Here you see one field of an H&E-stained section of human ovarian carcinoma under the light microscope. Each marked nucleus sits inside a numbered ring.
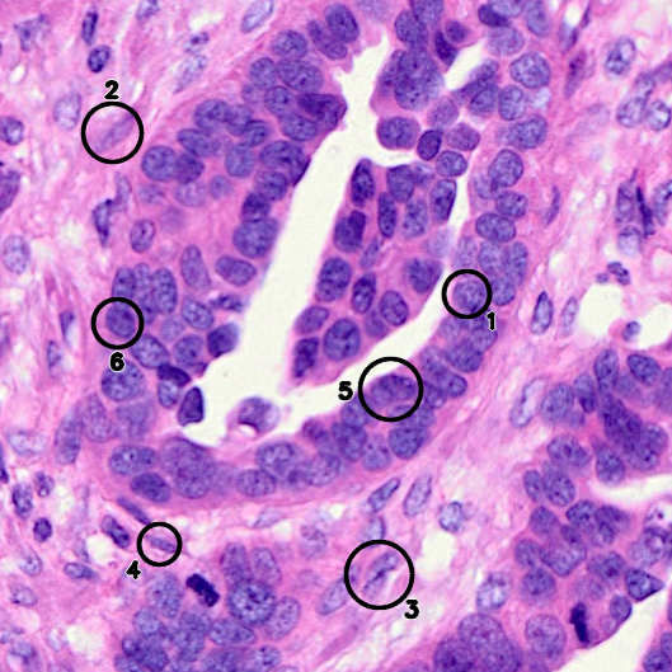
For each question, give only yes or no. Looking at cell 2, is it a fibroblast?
yes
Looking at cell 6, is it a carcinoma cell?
yes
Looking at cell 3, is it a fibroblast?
yes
